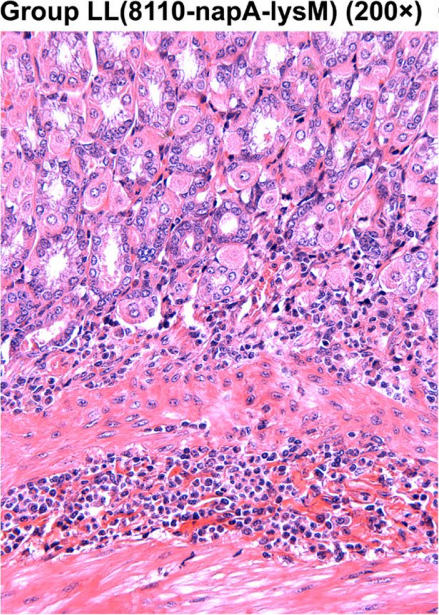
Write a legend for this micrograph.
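Gastric mucosa with glands in the upper half, their cells having pale pink cytoplasm and round central nuclei arranged around small open lumens. Below the glands and between their bases lies a dense infiltrate of small cells with round, dark purple nuclei and very little cytoplasm, typical of lymphocytes. A pink band of fibrous and muscular tissue crosses the field, and beneath it a second dense sheet of the same small dark cells is mixed with strands of red-pink connective tissue. Elongated muscle fibres with spindle-shaped nuclei form the bottom of the field.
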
